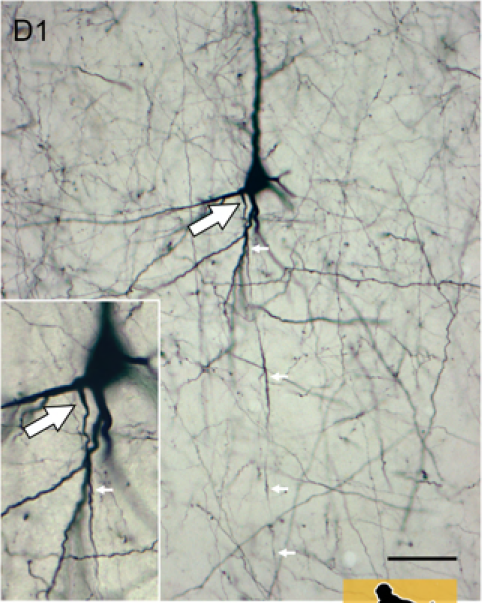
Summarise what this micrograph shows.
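A single dark-filled pyramidal neuron with a long apical dendrite rising to the top and several basal dendrites spreading sideways and downward. A thin, smooth axon leaves one basal dendrite a short way below the cell body, not the soma itself, and runs straight downward. Many fine labelled fibres criss-cross the pale background. The inset shows the cell body and the axon's origin from the dendrite enlarged.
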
